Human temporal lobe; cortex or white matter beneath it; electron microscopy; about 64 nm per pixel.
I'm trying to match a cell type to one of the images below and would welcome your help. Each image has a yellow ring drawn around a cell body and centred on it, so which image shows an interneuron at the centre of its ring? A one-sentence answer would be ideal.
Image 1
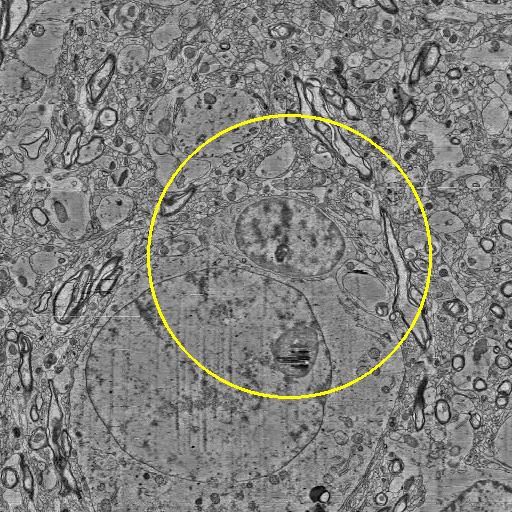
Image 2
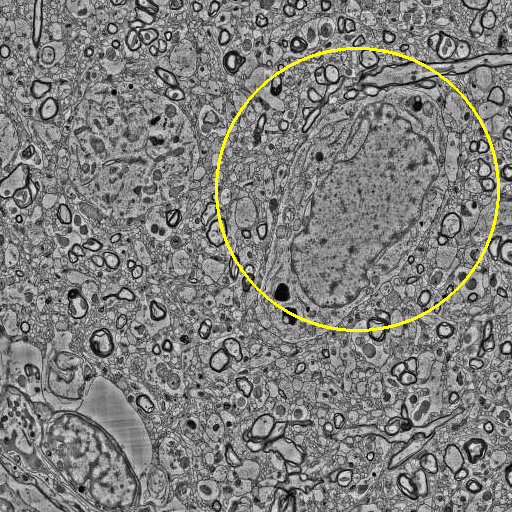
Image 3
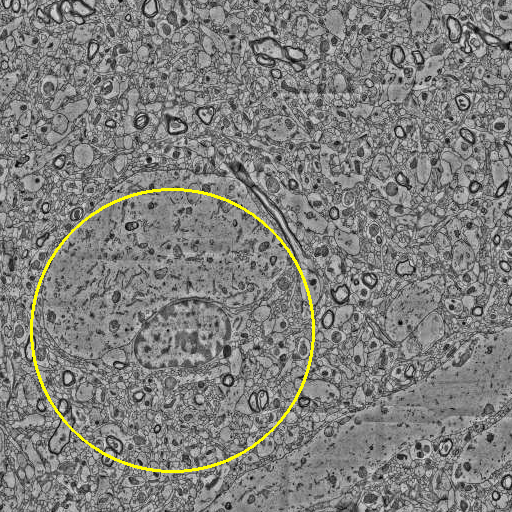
Image 2 shows it at the centre of the ring.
